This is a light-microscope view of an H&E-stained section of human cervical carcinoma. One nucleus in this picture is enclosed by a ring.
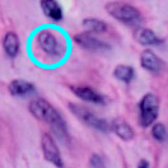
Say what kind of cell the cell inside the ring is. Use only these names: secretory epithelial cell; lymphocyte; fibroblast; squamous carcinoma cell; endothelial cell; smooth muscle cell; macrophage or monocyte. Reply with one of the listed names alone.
smooth muscle cell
